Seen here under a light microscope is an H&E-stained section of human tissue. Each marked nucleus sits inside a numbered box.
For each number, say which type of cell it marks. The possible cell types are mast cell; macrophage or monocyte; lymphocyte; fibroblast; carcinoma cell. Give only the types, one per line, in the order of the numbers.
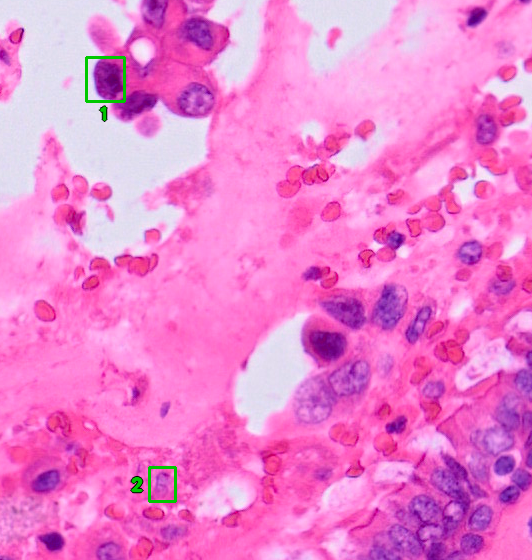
carcinoma cell
macrophage or monocyte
